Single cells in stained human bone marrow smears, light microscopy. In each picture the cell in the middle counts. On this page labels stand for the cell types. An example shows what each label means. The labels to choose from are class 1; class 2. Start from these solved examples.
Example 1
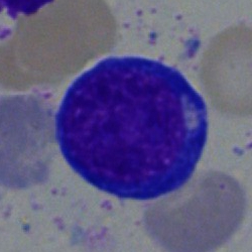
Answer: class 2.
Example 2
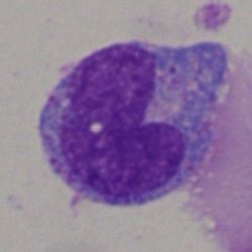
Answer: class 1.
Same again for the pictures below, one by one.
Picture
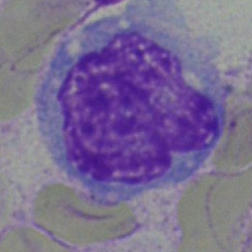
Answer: class 1.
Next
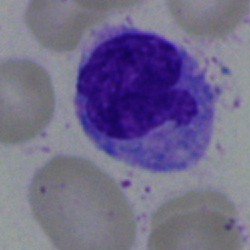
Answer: class 1.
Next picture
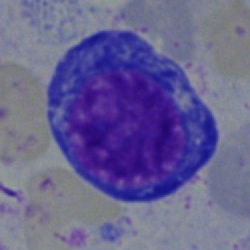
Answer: class 2.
